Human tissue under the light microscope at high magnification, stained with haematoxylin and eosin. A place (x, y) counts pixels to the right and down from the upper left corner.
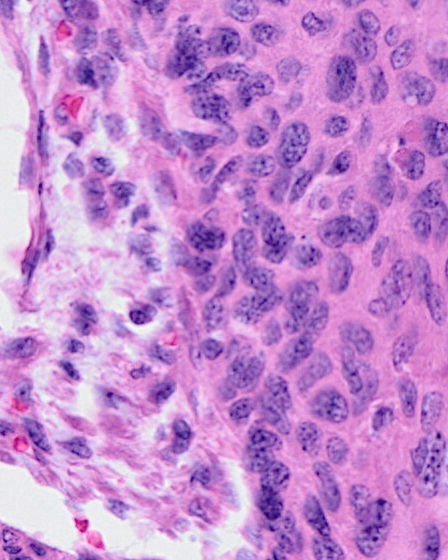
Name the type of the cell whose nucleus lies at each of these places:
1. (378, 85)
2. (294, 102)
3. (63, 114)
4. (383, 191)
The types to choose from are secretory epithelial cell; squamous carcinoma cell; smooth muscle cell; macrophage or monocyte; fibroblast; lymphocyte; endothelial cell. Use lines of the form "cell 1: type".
cell 1: squamous carcinoma cell
cell 2: squamous carcinoma cell
cell 3: endothelial cell
cell 4: squamous carcinoma cell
